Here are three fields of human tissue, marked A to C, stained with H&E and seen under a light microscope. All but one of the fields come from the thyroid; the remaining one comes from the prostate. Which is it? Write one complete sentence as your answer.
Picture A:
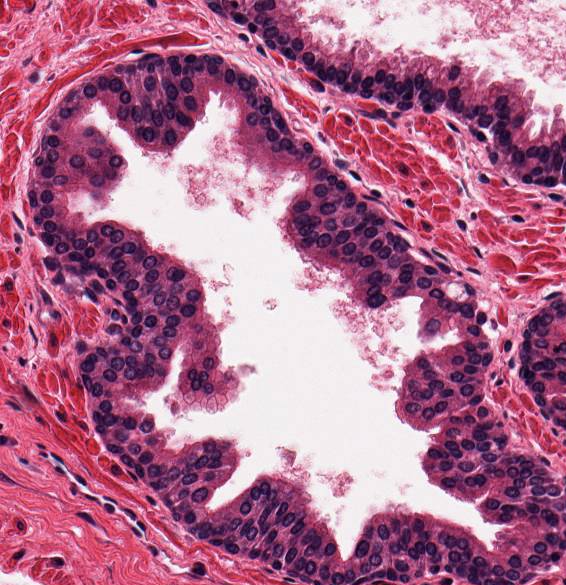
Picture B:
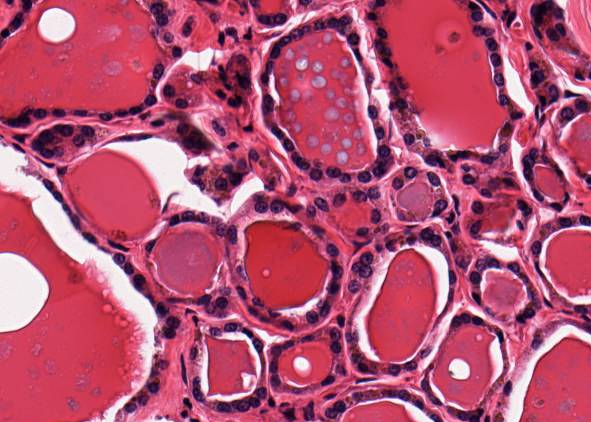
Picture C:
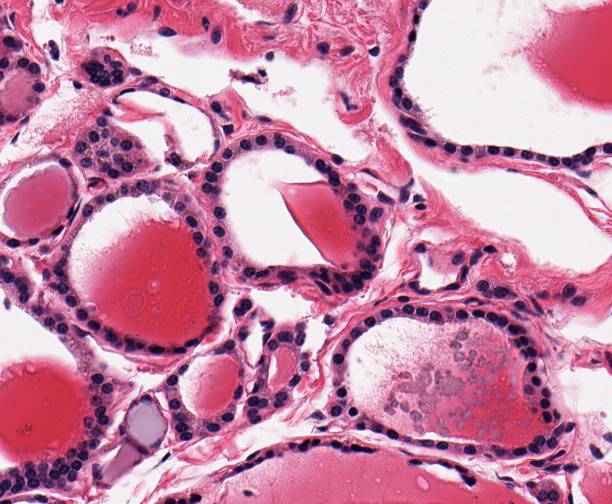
Picture A is the field that comes from the prostate.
